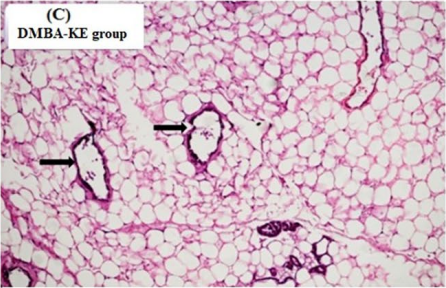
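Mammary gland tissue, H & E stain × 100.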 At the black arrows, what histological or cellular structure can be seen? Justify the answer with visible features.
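Small open duct profiles with a thin dark epithelial lining. The ducts lie among large empty adipocytes.
Dilated breast ducts.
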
